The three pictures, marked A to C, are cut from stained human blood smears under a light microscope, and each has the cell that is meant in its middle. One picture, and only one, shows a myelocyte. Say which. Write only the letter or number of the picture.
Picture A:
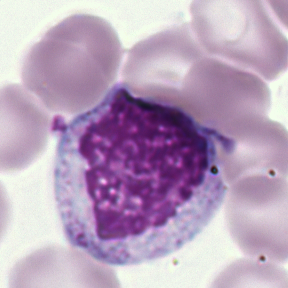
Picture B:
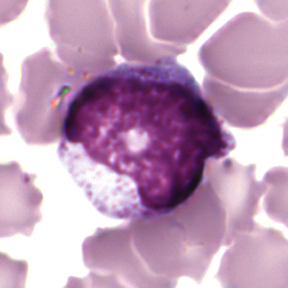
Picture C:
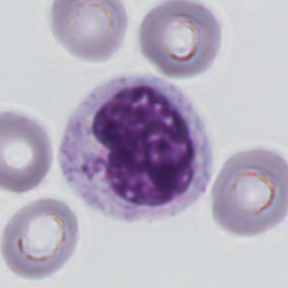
A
